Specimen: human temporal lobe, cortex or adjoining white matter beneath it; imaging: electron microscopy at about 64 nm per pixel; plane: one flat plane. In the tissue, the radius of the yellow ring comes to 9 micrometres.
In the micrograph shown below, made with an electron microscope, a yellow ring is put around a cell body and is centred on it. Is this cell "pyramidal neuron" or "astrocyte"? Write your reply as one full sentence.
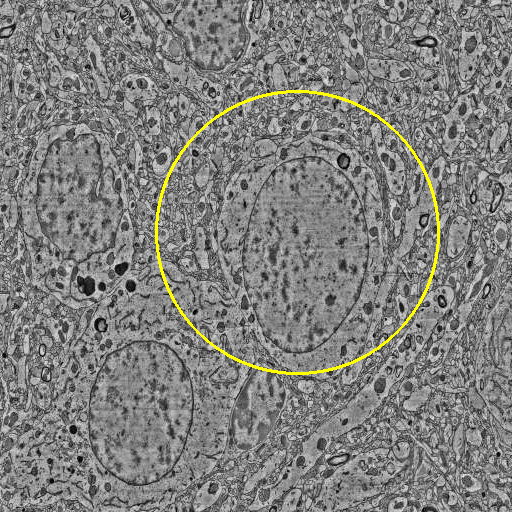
In the micrograph, a pyramidal neuron is the cell at the centre of the yellow ring.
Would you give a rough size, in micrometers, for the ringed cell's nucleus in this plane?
About 13 by 8 micrometers; the nucleus is clearly longer than it is wide in this plane.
